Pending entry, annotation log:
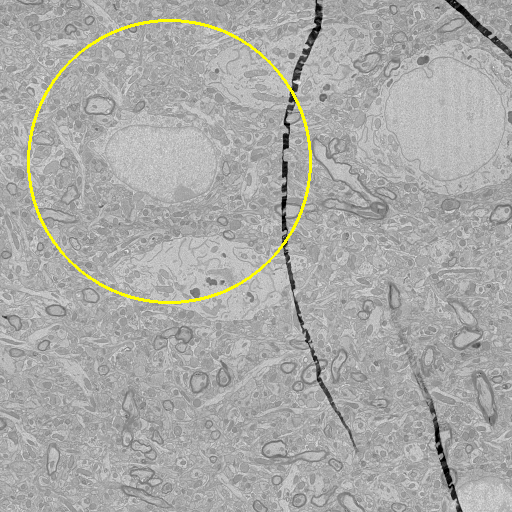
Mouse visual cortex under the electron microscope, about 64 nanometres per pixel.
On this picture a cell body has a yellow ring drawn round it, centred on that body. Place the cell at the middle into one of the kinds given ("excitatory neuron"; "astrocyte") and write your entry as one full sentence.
The cell body at the middle of the yellow ring belongs to an astrocyte.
